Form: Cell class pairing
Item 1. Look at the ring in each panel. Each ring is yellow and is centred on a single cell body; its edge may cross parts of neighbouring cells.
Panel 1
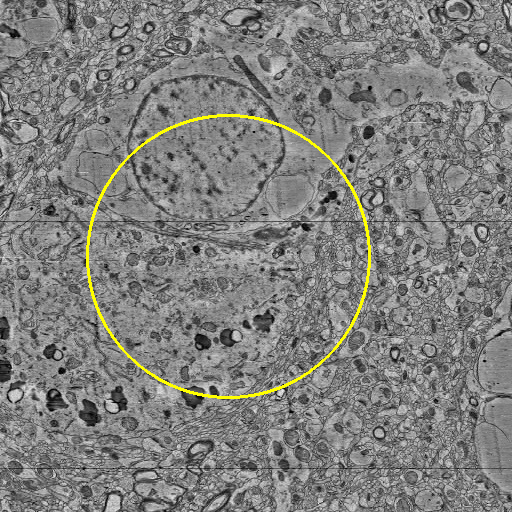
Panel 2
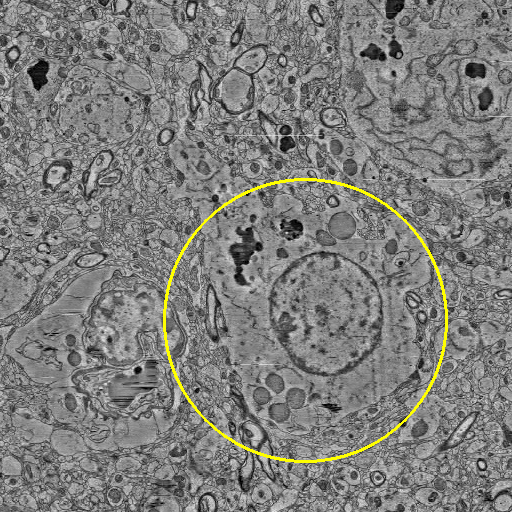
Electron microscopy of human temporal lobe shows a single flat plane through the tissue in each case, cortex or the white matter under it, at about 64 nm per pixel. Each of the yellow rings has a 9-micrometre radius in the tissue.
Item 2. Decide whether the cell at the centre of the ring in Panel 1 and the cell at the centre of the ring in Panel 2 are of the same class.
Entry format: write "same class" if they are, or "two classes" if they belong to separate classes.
two classes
